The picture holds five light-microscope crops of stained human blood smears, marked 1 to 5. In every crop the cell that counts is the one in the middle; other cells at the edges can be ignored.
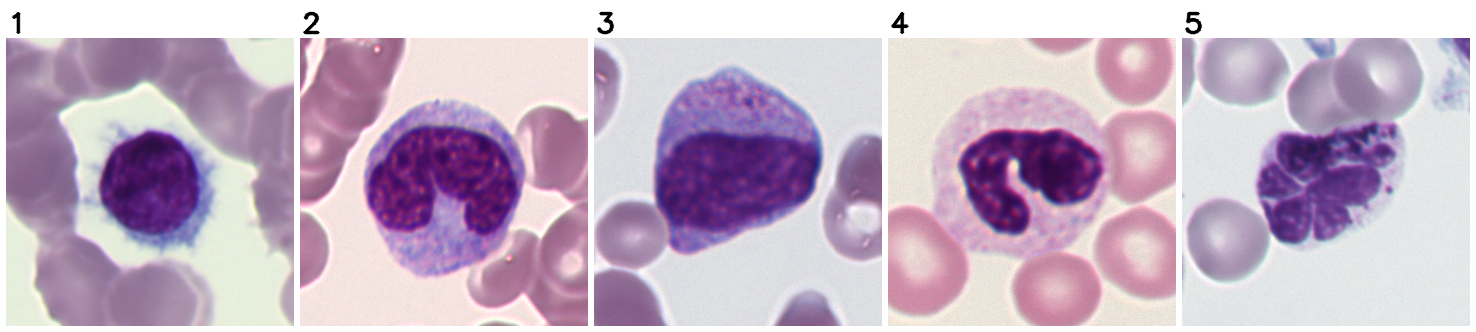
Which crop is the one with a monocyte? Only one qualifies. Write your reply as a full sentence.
Of the crops given, a monocyte is found in crop 2.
